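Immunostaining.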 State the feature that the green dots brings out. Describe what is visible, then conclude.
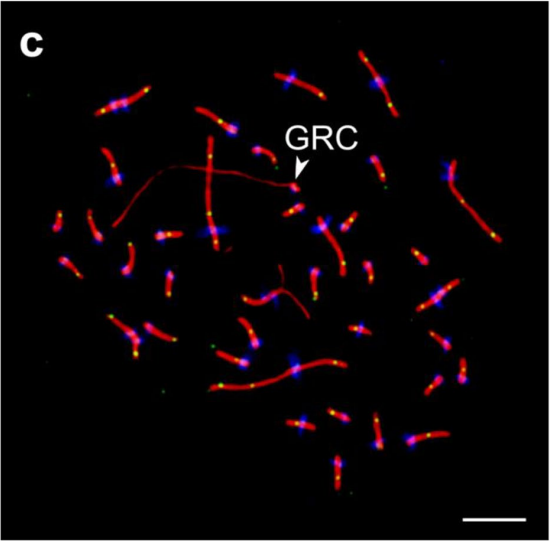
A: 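Small green dots sit along the red axes. Most axes carry one or two green dots. On this evidence: recombination foci.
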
